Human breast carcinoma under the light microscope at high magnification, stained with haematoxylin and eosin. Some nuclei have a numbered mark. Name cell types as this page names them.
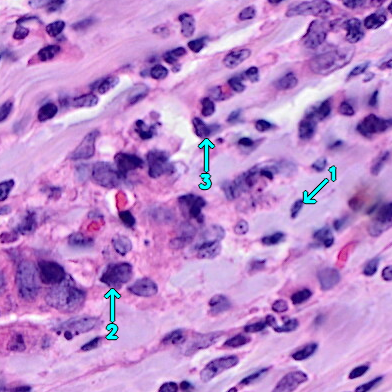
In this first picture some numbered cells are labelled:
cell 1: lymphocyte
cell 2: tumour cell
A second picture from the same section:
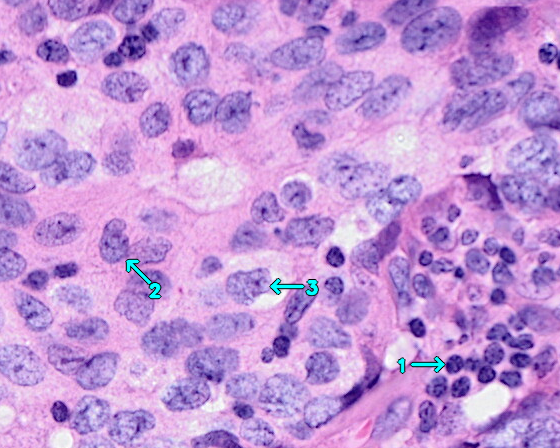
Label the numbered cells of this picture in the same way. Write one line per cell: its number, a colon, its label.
1: lymphocyte
2: tumour cell
3: tumour cell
